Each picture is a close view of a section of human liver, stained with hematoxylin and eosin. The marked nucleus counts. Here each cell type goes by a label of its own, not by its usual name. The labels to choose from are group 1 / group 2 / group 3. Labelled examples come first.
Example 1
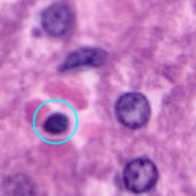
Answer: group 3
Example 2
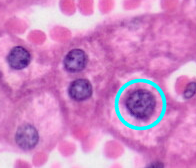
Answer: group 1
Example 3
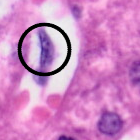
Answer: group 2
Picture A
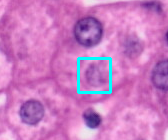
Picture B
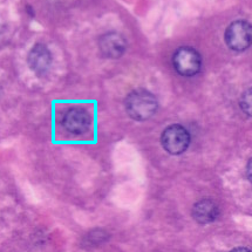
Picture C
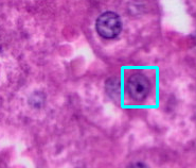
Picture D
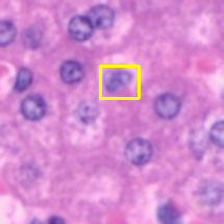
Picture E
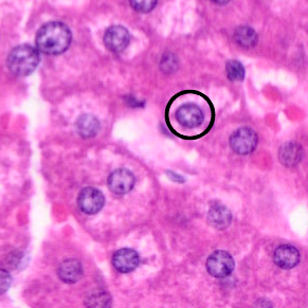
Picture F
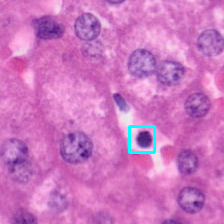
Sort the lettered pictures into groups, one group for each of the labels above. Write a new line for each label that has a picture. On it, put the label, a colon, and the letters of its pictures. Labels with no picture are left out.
group 1: A, B, C, E
group 2: D
group 3: F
